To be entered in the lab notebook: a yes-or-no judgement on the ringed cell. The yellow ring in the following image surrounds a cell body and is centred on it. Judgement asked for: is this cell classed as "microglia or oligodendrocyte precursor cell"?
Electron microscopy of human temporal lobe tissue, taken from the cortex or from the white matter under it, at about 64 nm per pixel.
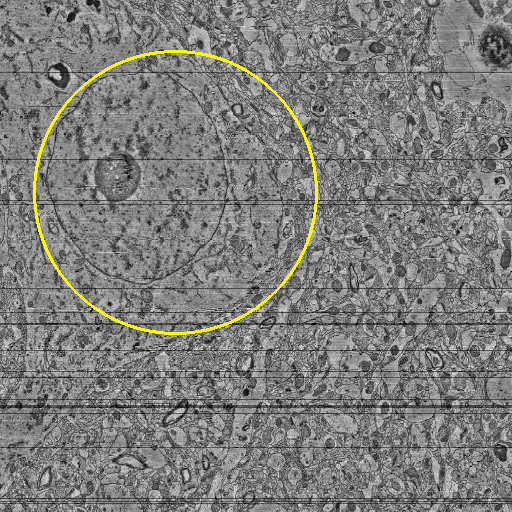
No, it falls in another class.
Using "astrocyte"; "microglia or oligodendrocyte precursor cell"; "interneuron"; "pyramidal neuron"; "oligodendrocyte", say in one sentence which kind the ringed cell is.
Here, the ring is centred on a pyramidal neuron instead.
